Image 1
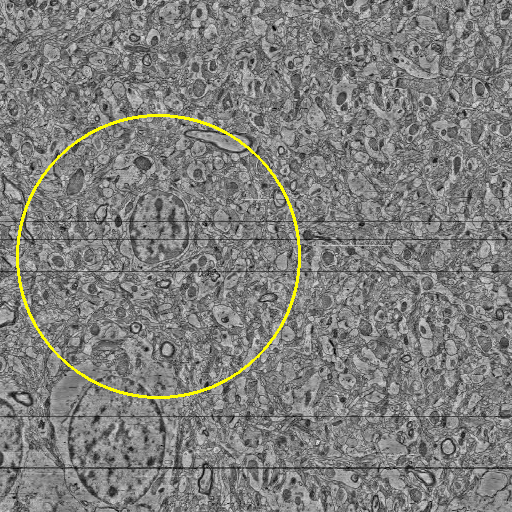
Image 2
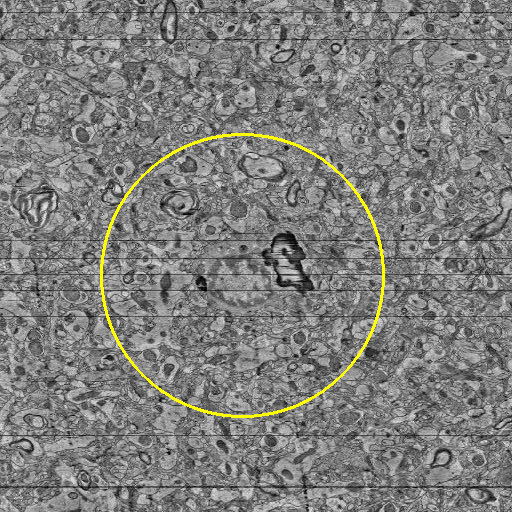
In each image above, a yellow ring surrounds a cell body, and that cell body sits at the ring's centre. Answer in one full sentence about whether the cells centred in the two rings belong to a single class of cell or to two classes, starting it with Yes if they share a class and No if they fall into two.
No, the cells centred in the two yellow rings belong to two classes of cell.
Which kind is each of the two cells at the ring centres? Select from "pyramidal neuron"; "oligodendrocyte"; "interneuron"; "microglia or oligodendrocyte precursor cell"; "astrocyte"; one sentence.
The cell at the centre of the ring is a microglial cell or oligodendrocyte precursor cell in the first picture and an oligodendrocyte in the second.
